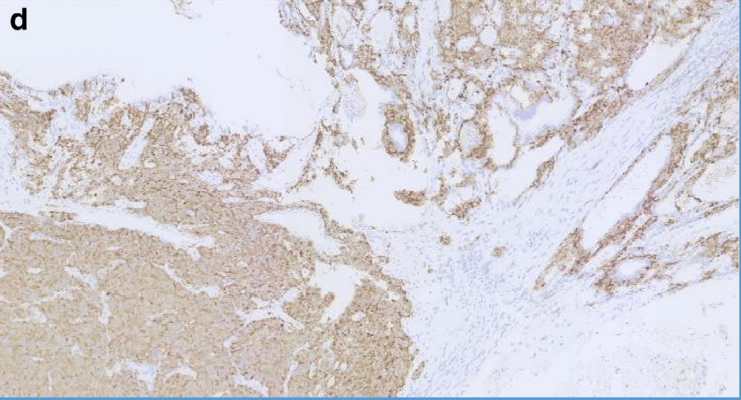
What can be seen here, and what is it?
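A broad solid sheet of cells at lower left is evenly brown throughout its cytoplasm, and the nests and clusters at upper right are brown too. The diagonal band of fibrous stroma between them and the surrounding loose tissue stay pale blue from the counterstain.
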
